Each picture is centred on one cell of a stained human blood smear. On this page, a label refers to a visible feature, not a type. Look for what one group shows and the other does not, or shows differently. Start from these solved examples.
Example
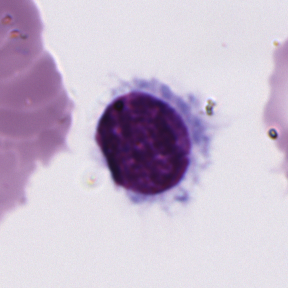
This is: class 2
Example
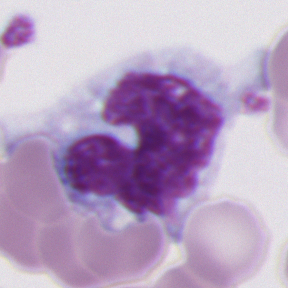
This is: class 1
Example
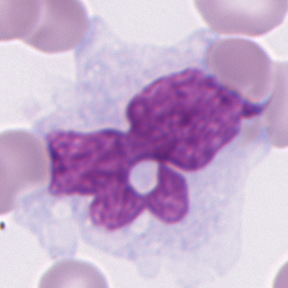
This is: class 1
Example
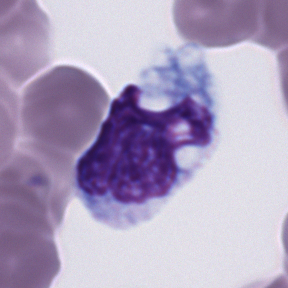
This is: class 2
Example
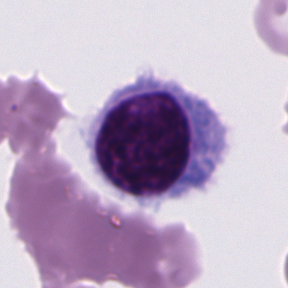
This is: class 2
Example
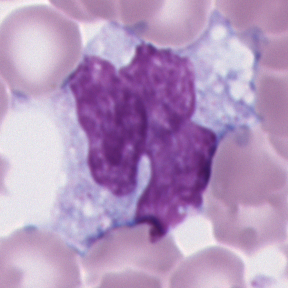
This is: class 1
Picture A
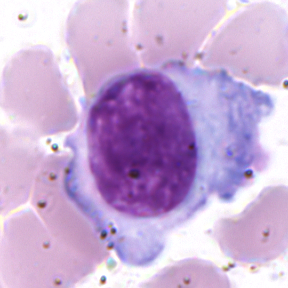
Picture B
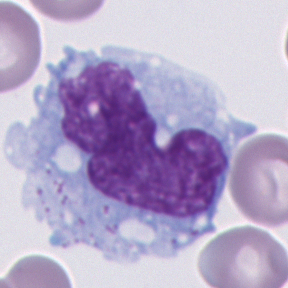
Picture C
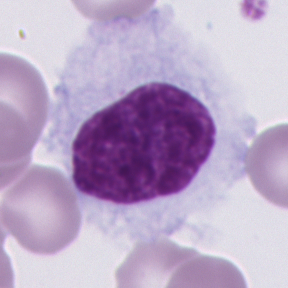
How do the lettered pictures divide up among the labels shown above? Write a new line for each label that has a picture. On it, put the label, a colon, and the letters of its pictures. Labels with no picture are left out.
class 1: A, B, C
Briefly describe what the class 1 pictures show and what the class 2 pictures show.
class 1, abundant cytoplasm; class 2, scant cytoplasm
